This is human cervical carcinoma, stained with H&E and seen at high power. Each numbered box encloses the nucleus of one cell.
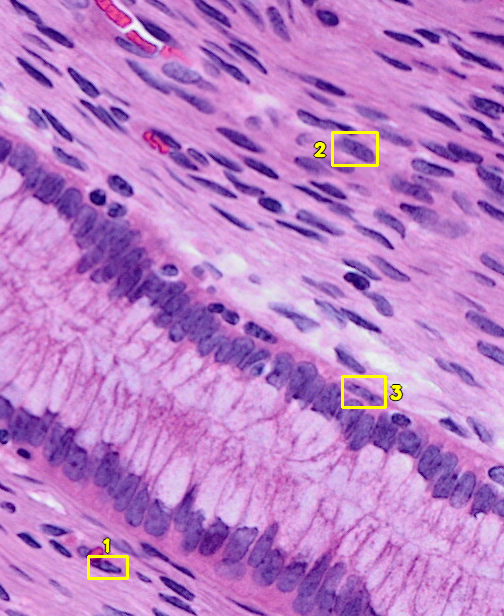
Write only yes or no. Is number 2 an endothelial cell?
no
